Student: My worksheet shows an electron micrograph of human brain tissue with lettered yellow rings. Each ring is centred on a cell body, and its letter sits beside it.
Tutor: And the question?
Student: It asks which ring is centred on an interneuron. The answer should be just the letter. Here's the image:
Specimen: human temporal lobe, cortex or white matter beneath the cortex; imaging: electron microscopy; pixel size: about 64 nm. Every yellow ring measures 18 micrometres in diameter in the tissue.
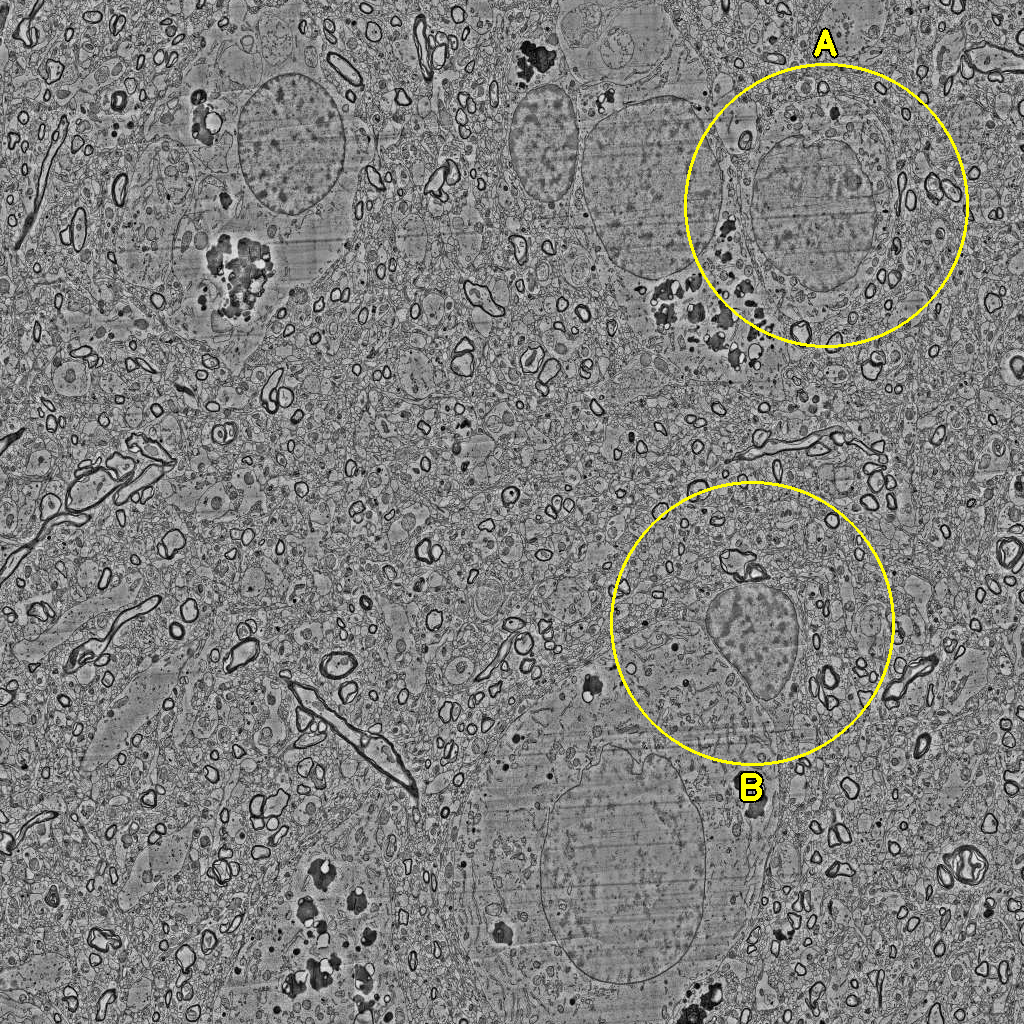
A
